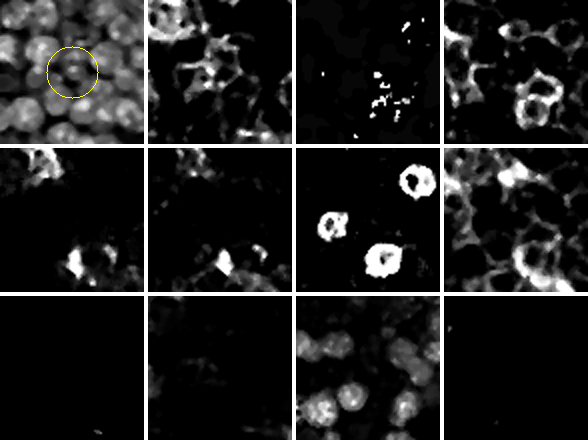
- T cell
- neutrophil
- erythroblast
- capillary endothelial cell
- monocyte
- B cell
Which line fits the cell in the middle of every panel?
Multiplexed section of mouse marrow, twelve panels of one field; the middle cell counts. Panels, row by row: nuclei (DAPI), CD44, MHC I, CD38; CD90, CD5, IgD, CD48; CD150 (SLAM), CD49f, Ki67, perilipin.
neutrophil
